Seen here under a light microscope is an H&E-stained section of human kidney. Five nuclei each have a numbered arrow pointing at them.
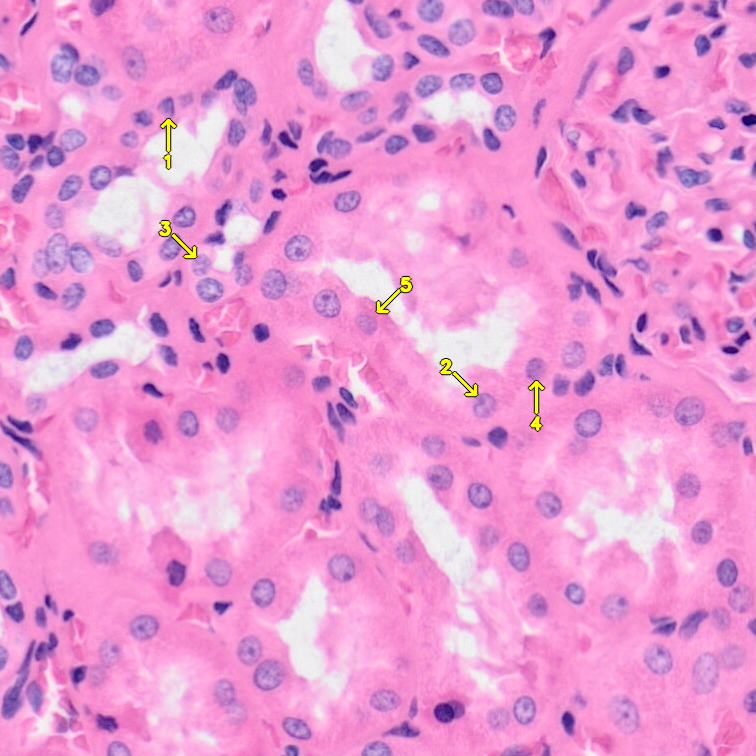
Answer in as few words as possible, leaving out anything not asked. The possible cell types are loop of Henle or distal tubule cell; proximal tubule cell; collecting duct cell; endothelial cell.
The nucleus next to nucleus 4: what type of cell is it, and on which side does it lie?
an endothelial cell, below and to the right of nucleus 4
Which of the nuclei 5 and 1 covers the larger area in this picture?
5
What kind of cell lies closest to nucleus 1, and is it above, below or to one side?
a collecting duct cell above and to the right of nucleus 1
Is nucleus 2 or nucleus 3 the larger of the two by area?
2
